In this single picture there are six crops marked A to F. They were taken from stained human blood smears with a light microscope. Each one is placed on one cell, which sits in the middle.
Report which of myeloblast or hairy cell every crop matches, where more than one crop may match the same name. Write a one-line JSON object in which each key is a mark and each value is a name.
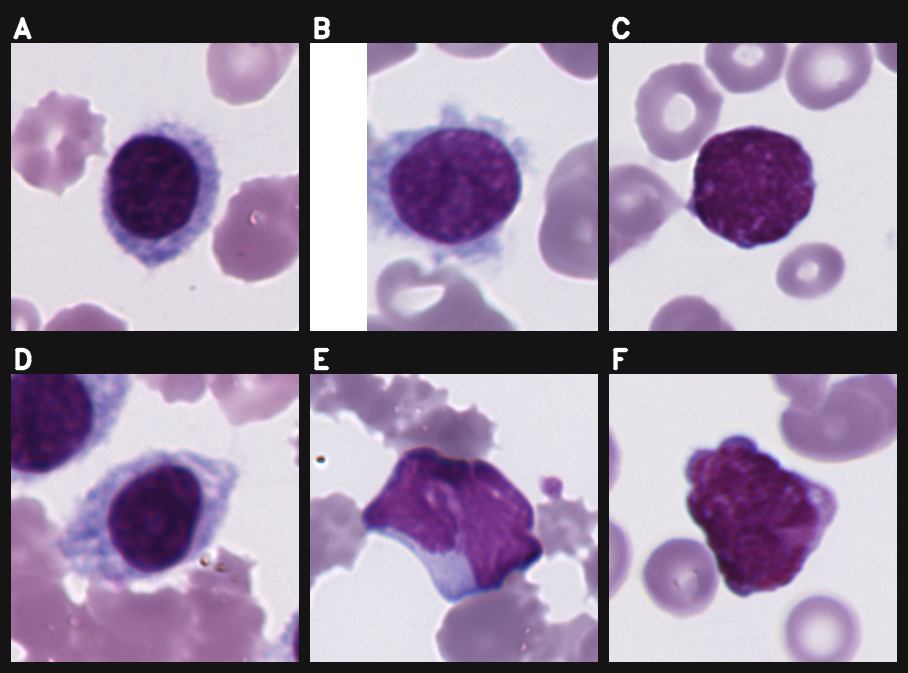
{"A": "hairy cell", "B": "hairy cell", "C": "myeloblast", "D": "hairy cell", "E": "myeloblast", "F": "myeloblast"}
